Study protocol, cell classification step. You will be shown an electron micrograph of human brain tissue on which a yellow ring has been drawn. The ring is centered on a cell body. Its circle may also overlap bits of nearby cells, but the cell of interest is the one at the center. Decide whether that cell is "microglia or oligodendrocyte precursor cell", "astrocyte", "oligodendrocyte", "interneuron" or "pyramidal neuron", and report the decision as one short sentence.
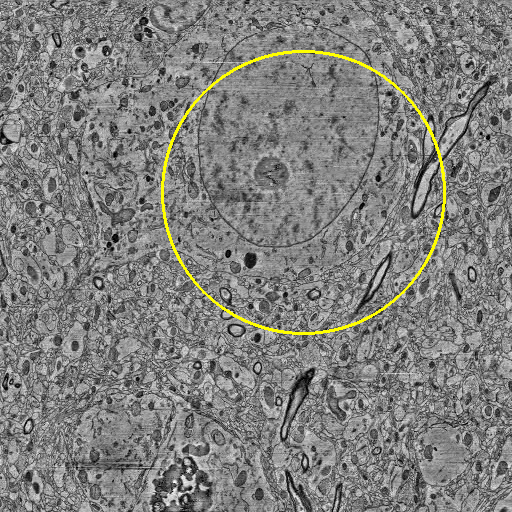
The marked cell is a pyramidal neuron.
